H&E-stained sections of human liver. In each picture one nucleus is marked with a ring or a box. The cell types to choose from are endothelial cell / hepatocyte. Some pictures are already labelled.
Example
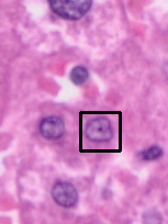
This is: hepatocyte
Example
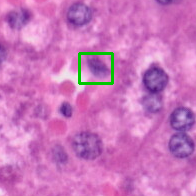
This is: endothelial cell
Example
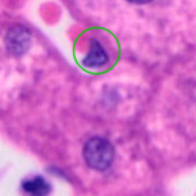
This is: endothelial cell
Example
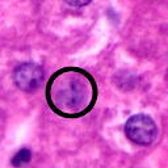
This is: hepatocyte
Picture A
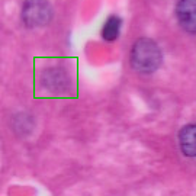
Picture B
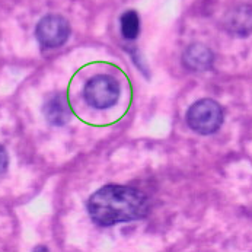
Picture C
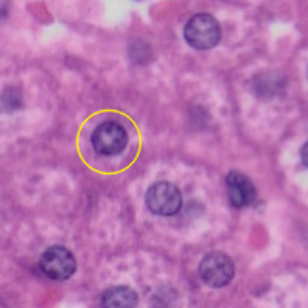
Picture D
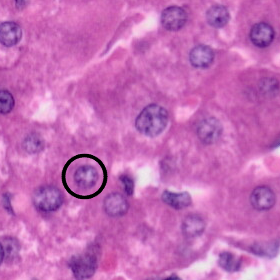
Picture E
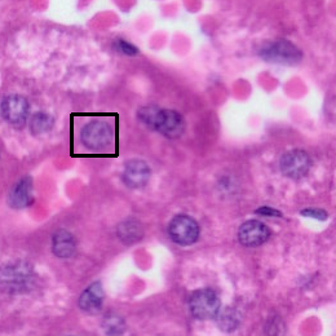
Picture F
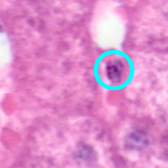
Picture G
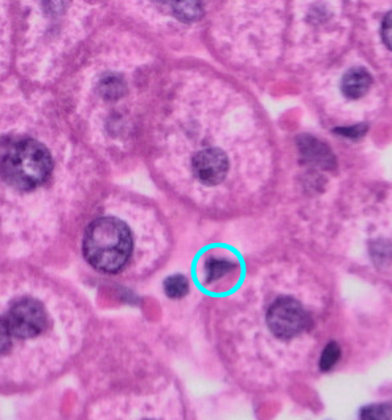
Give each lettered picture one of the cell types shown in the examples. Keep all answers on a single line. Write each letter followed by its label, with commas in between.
A hepatocyte, B hepatocyte, C hepatocyte, D hepatocyte, E hepatocyte, F endothelial cell, G endothelial cell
